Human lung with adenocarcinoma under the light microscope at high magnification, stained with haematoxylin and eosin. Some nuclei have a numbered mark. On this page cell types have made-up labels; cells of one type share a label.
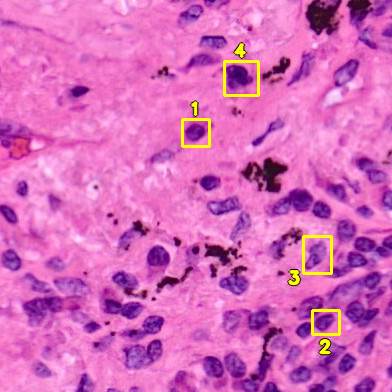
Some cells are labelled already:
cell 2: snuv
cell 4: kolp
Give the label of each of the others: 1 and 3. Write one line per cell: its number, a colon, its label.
1: kolp
3: snuv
